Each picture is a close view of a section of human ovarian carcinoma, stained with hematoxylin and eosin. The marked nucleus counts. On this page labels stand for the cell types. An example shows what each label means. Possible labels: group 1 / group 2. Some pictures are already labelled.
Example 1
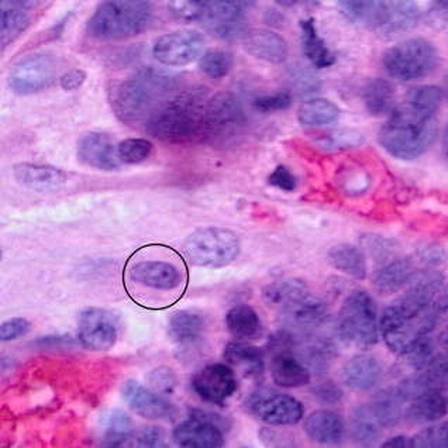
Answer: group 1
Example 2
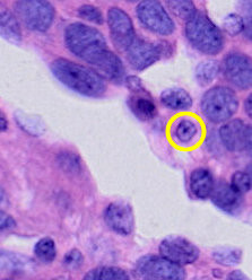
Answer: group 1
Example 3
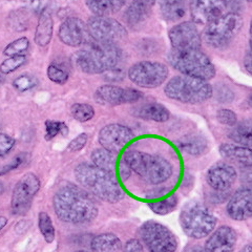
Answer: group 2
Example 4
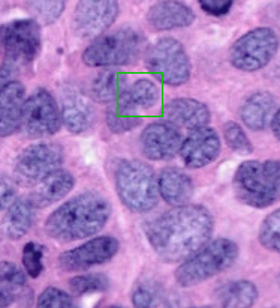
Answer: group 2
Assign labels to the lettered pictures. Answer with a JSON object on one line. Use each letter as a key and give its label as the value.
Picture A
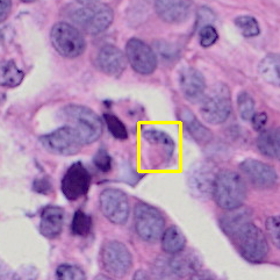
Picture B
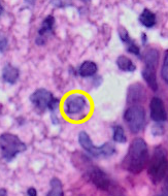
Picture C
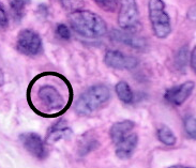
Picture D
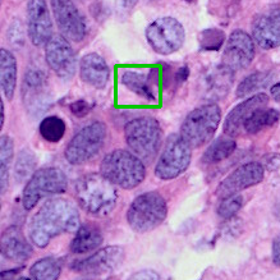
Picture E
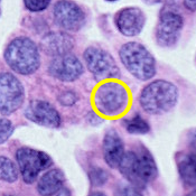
{"A": "group 1", "B": "group 1", "C": "group 1", "D": "group 1", "E": "group 2"}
